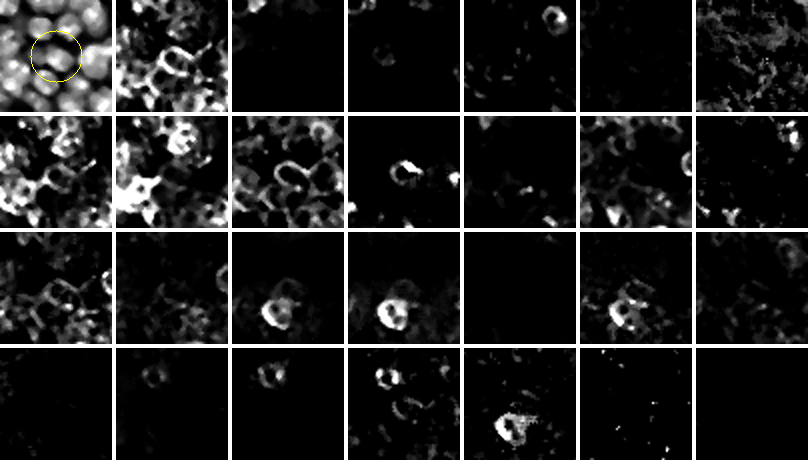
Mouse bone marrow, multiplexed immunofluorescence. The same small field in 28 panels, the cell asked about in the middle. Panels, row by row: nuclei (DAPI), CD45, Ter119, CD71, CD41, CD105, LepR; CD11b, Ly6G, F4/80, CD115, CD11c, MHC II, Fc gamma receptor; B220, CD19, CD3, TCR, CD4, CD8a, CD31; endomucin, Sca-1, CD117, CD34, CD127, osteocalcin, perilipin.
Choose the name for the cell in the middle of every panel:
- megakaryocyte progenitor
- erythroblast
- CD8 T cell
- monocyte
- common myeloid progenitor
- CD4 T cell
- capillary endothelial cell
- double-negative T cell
monocyte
